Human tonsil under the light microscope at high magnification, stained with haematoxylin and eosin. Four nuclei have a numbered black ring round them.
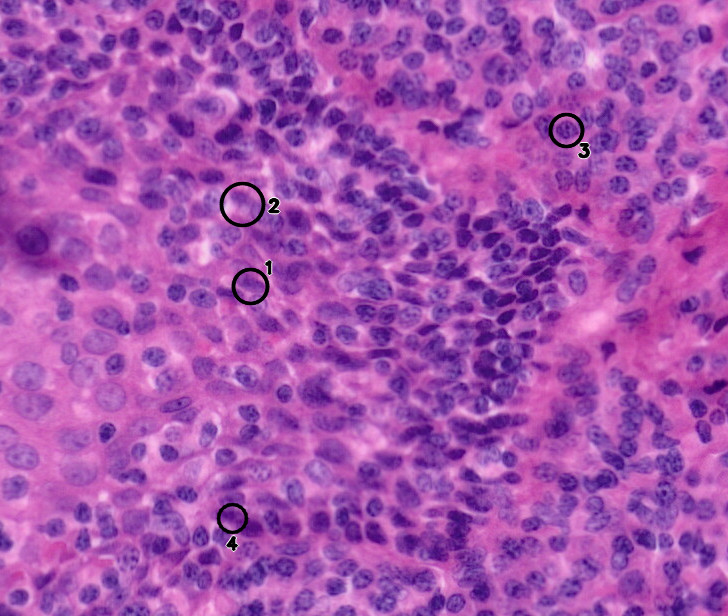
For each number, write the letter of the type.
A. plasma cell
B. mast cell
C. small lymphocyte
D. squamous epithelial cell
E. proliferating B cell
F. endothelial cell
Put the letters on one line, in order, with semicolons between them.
D; D; A; D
